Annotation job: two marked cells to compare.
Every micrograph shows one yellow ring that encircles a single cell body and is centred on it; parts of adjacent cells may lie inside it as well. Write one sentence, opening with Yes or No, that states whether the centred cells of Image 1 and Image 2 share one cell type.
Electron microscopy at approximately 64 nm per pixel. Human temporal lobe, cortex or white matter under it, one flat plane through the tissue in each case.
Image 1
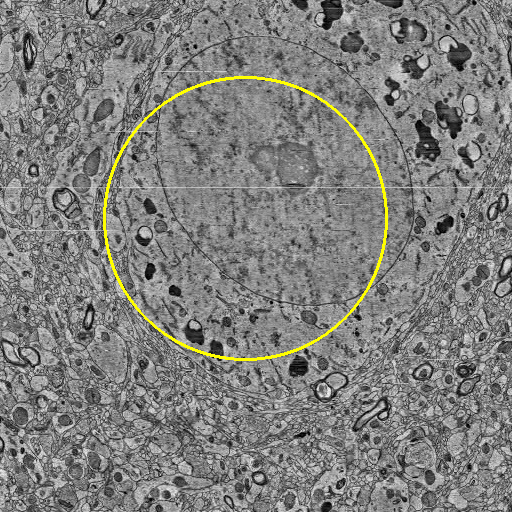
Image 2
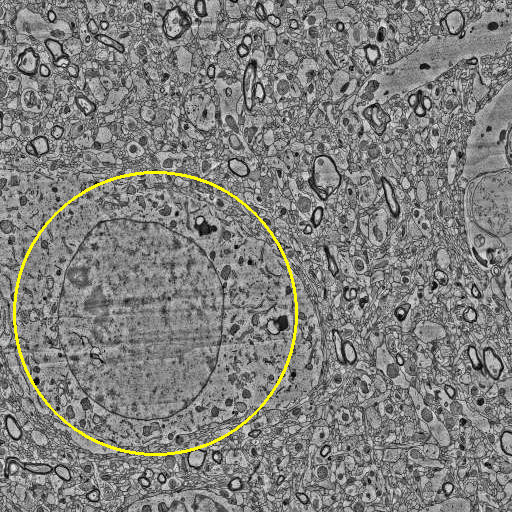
Yes, the cell centred in Image 1 shares its type with the cell centred in Image 2.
